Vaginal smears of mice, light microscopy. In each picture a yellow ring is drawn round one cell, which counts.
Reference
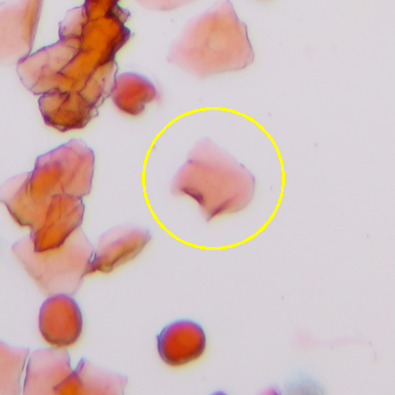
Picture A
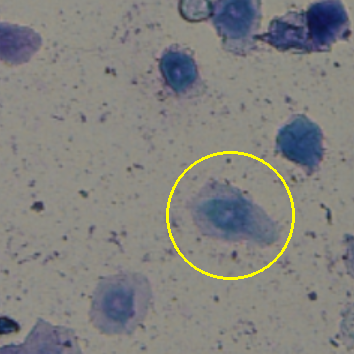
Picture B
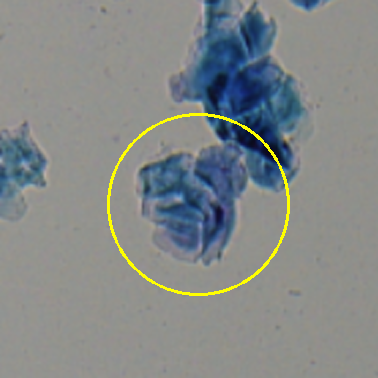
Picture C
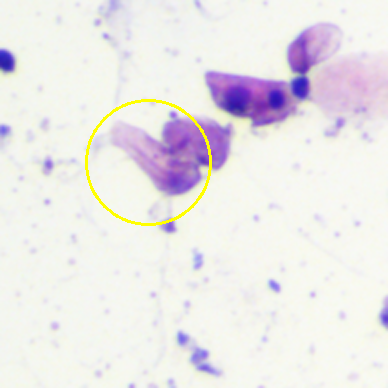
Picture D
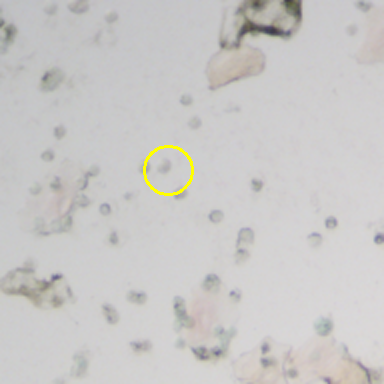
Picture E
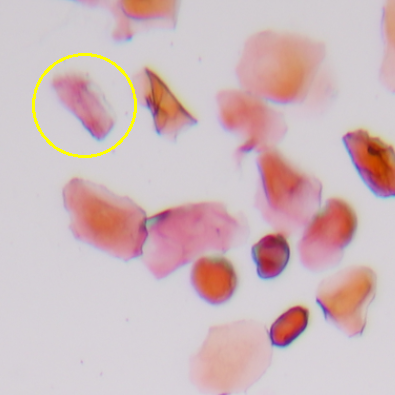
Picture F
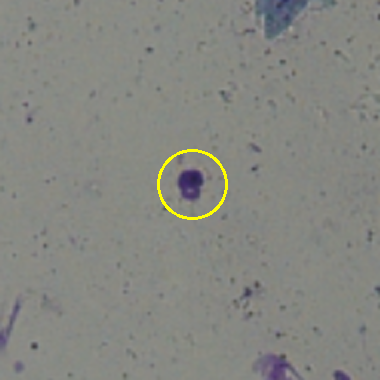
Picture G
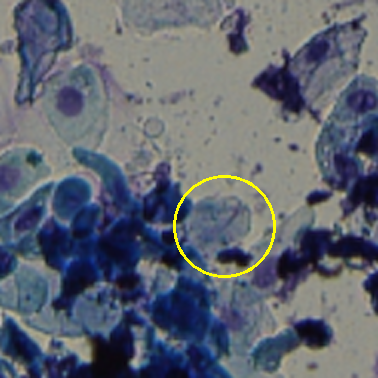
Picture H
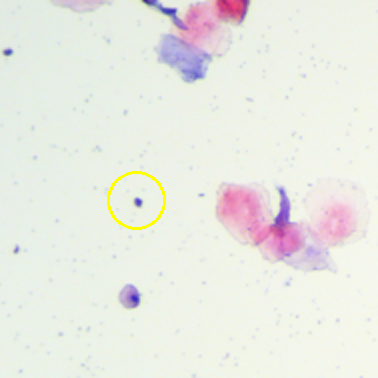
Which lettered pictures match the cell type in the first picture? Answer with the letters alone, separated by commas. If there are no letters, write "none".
B, C, E, G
